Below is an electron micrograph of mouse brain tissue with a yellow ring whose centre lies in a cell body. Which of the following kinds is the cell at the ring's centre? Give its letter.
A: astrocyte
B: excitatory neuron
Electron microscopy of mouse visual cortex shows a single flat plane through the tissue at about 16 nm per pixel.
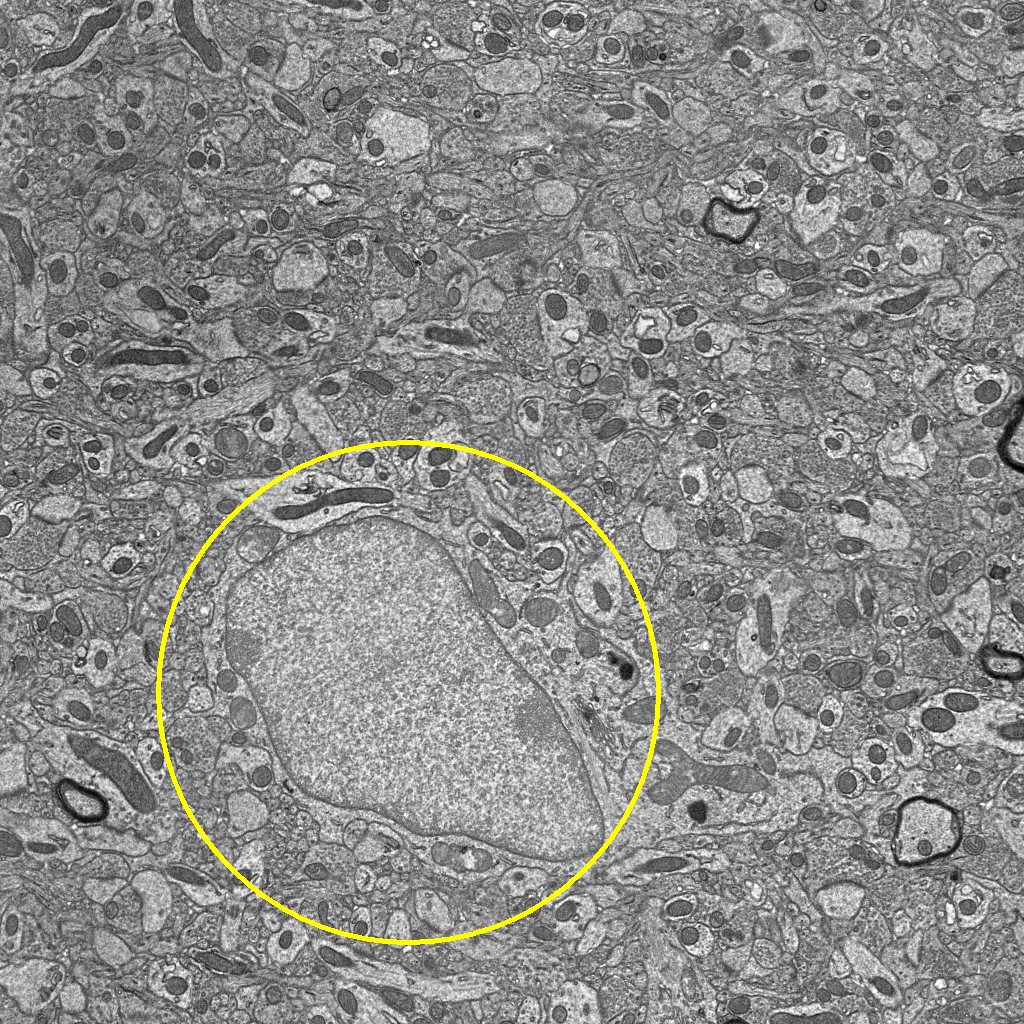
A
